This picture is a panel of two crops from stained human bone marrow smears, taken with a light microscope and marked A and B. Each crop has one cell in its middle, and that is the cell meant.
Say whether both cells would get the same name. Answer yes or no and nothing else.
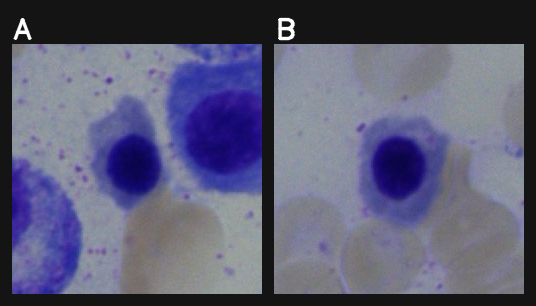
yes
